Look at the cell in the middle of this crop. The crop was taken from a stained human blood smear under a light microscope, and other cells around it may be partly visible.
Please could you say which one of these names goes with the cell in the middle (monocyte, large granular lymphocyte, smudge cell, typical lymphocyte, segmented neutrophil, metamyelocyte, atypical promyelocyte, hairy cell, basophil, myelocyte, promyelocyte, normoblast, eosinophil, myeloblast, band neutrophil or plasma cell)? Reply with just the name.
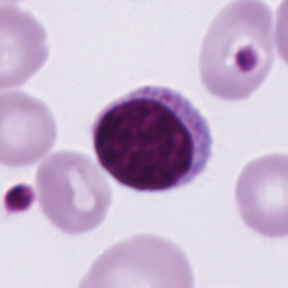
large granular lymphocyte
